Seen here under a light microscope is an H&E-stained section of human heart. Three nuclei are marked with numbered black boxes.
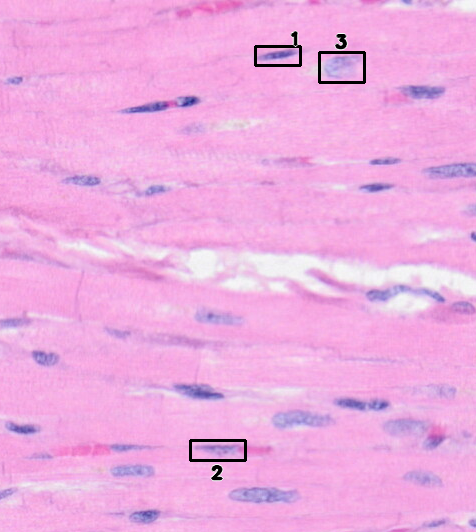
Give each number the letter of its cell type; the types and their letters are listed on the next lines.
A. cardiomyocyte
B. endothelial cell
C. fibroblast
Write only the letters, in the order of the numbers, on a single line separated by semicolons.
B; B; A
